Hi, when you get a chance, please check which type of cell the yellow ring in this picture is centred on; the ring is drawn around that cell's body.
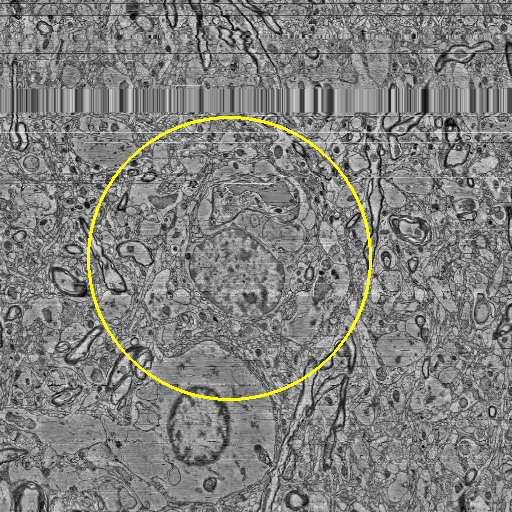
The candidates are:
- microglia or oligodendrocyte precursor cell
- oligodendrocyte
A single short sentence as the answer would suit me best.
The ring is drawn around the body of an oligodendrocyte.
